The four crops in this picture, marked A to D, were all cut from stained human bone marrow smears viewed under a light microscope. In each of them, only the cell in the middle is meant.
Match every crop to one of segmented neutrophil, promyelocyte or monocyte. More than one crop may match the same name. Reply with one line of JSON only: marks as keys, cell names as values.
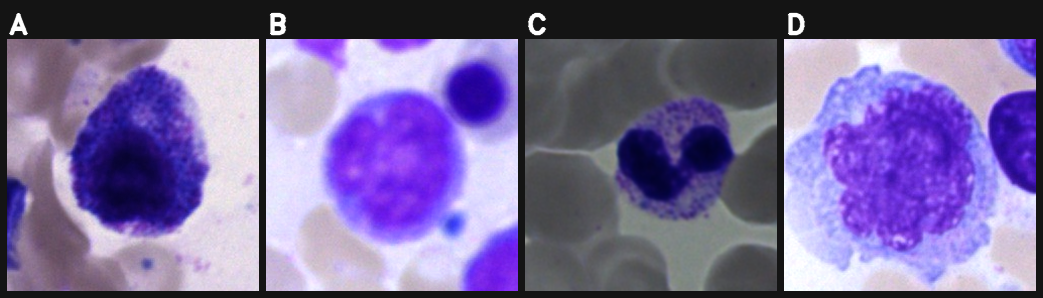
{"A": "promyelocyte", "B": "monocyte", "C": "segmented neutrophil", "D": "monocyte"}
